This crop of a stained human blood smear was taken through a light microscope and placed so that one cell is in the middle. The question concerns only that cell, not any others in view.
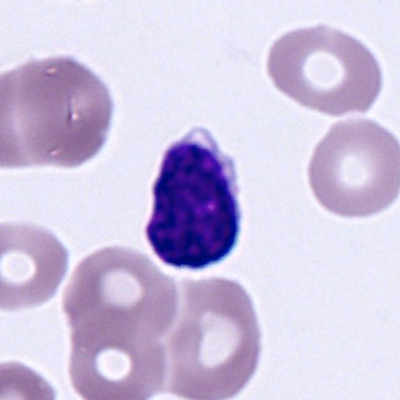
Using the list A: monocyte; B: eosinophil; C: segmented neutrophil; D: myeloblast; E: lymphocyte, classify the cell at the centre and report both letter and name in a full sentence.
Correctly, option E names the cell in the middle a lymphocyte.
